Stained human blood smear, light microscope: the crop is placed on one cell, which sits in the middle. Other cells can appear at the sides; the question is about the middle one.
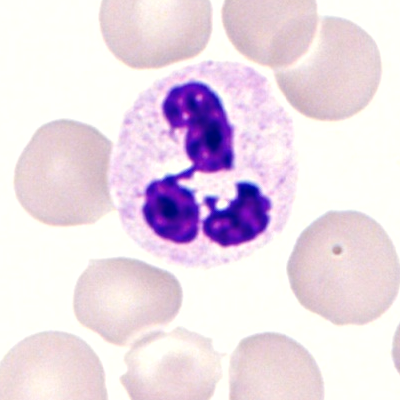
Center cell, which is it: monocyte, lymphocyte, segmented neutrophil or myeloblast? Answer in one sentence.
The central cell shown in this smear crop is a segmented neutrophil.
